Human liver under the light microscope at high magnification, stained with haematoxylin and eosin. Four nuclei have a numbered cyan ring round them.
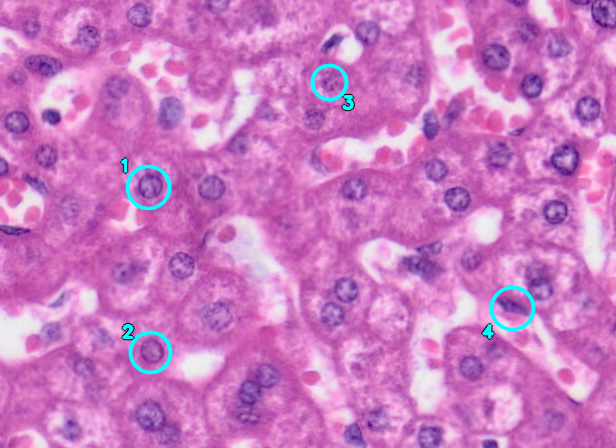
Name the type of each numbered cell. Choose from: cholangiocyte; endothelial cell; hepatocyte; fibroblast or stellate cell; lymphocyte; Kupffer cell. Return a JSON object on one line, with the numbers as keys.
{"1": "hepatocyte", "2": "hepatocyte", "3": "hepatocyte", "4": "endothelial cell"}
